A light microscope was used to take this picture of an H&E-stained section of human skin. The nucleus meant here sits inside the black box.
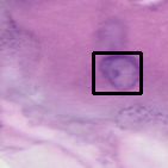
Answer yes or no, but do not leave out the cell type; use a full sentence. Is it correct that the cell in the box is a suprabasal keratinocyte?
Yes, a suprabasal keratinocyte is the identity of the cell in the box in this section.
